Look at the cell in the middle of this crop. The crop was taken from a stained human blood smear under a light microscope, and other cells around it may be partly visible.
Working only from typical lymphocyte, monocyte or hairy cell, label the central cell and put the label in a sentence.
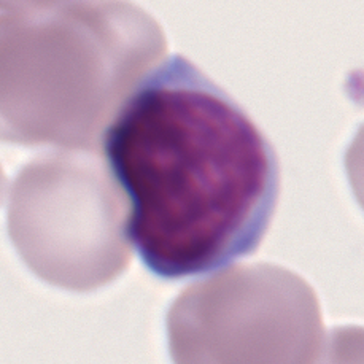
The cell centred in this crop is categorized as a typical lymphocyte.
